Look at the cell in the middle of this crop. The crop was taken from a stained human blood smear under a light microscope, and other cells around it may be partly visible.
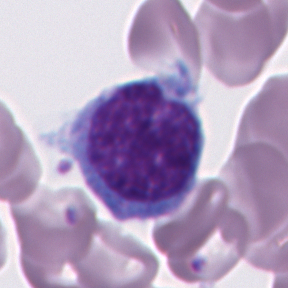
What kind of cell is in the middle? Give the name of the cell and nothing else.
monocyte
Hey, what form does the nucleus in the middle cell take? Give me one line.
Round, oval or kidney-shaped, the nucleus is one compact mass.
